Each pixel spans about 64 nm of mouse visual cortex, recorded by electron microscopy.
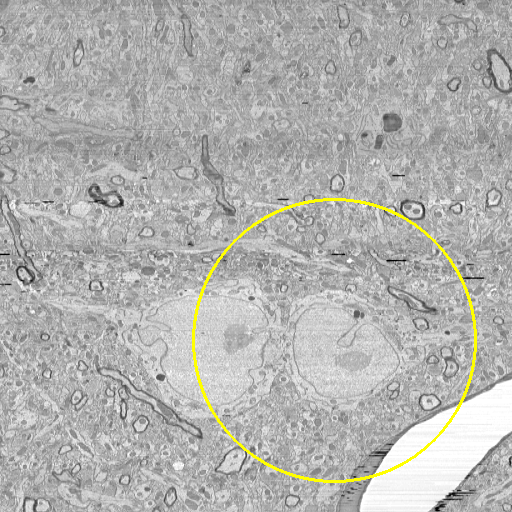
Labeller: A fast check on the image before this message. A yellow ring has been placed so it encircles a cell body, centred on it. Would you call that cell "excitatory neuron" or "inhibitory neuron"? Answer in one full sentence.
In this image, an inhibitory neuron is the cell on which the yellow ring is centred.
